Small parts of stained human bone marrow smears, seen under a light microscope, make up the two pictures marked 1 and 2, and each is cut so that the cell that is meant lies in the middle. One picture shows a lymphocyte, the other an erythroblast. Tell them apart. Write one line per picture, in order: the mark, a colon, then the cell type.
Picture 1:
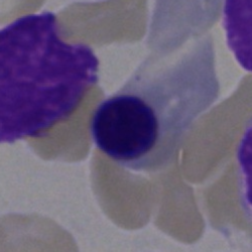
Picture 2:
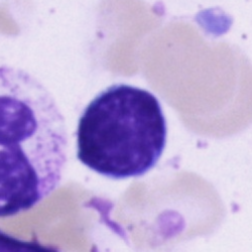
1: erythroblast
2: lymphocyte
